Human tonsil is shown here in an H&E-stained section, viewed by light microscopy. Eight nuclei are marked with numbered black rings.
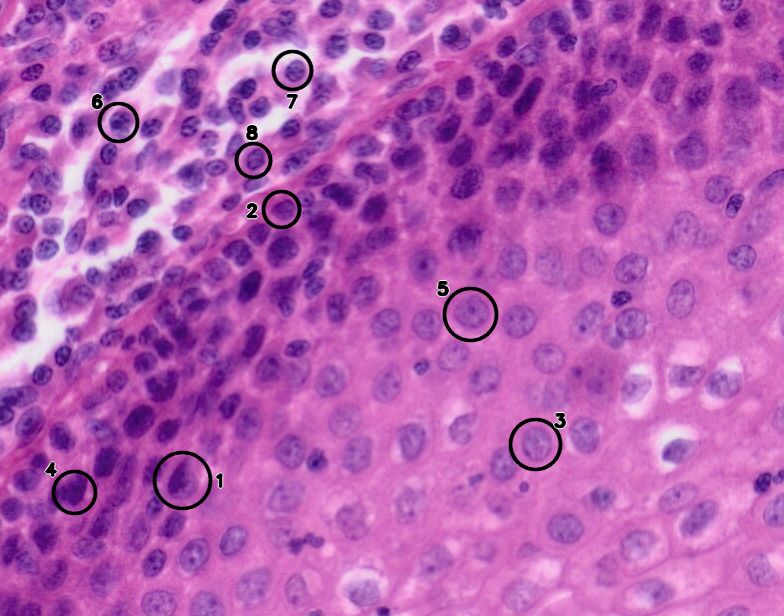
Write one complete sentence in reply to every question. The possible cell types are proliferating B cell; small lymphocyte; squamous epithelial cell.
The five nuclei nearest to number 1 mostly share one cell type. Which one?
Squamous epithelial cells make up most of the five nuclei closest to number 1.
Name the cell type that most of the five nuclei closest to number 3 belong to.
Squamous epithelial cells account for more than half of the five nuclei nearest to number 3.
